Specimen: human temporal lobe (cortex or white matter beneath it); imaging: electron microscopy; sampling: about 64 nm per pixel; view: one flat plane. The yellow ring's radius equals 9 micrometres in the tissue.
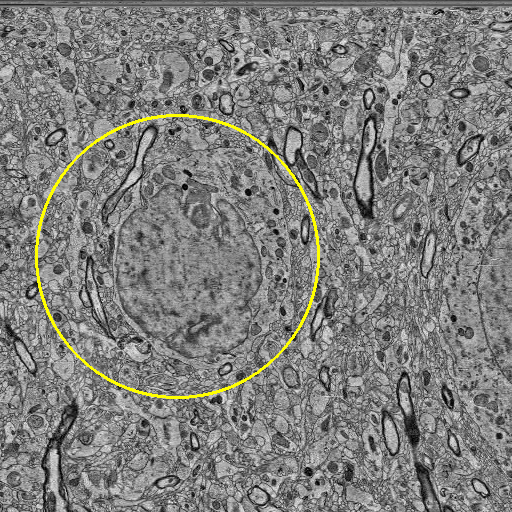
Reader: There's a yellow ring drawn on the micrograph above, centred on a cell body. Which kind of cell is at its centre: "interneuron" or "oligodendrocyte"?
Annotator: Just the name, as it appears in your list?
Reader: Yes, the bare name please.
interneuron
